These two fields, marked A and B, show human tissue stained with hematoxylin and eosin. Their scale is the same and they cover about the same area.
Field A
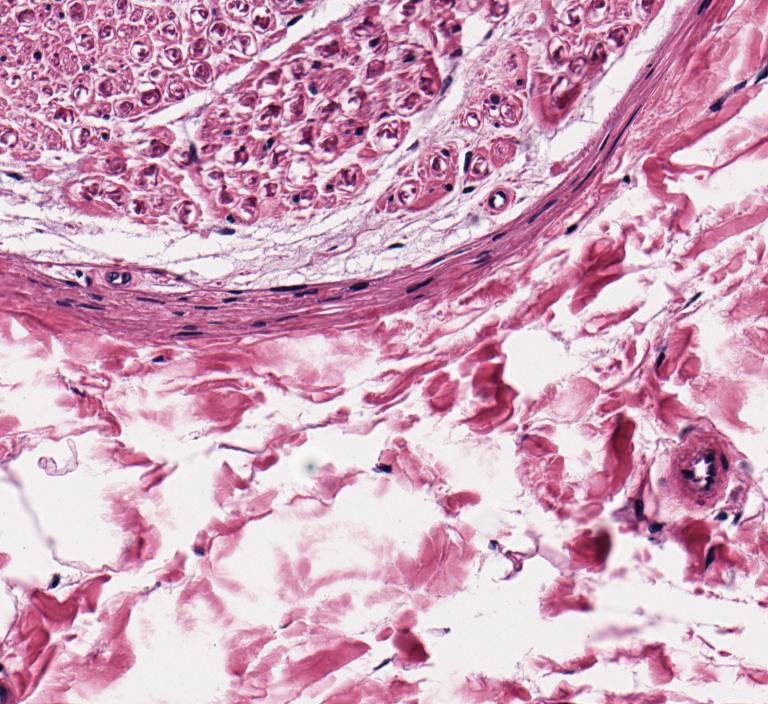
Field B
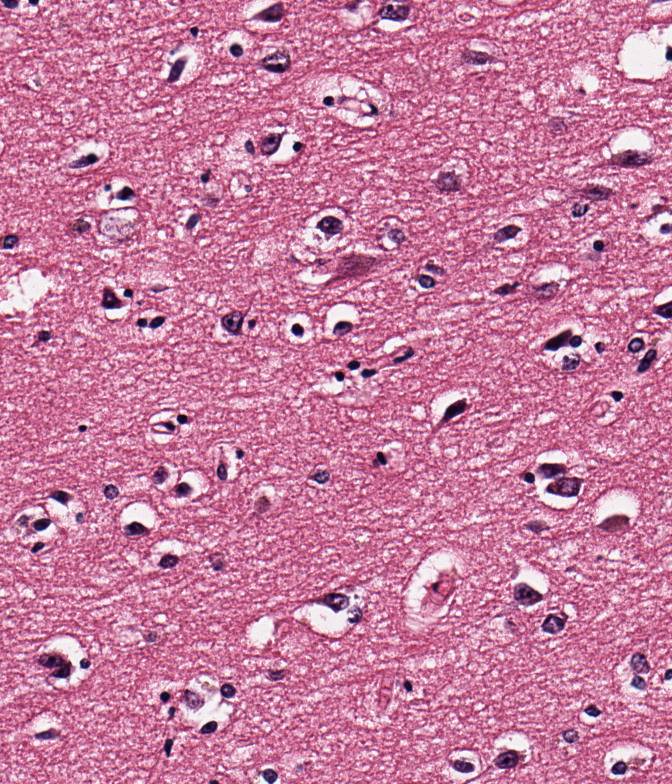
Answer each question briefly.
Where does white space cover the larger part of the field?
A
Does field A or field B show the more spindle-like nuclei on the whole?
A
